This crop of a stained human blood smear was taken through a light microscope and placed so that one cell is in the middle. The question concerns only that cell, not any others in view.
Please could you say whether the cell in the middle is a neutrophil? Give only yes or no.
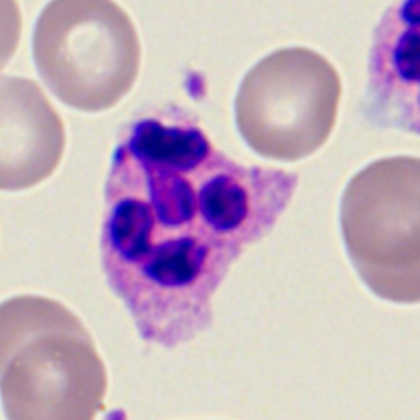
yes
